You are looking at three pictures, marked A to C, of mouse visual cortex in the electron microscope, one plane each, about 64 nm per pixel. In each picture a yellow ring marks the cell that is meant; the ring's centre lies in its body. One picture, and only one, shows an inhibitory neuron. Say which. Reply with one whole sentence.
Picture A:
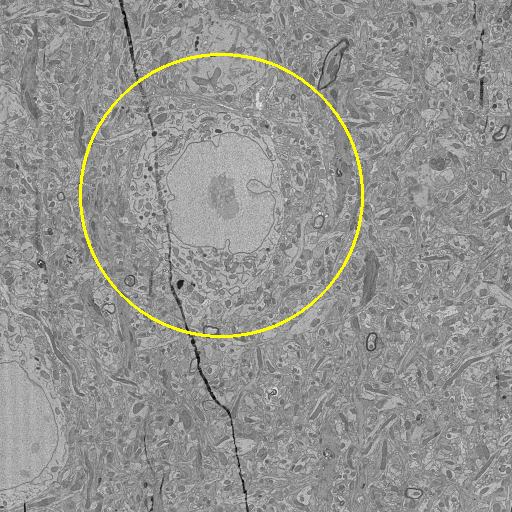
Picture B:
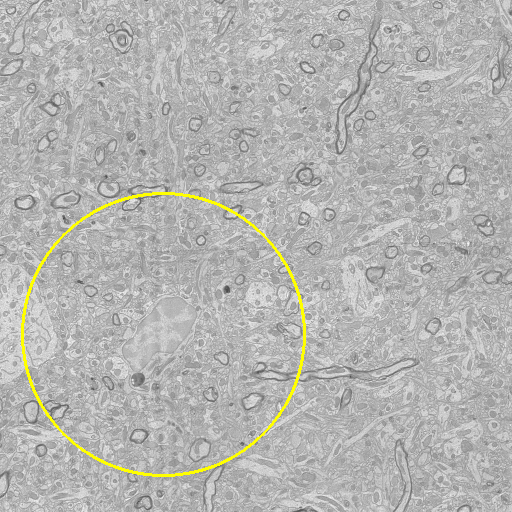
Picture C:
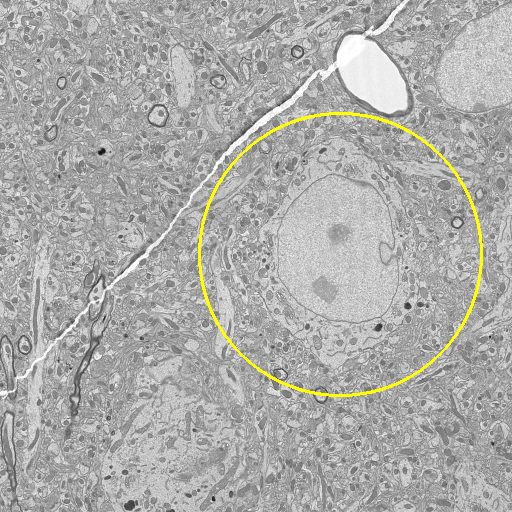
Picture A is the one that shows the inhibitory neuron.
